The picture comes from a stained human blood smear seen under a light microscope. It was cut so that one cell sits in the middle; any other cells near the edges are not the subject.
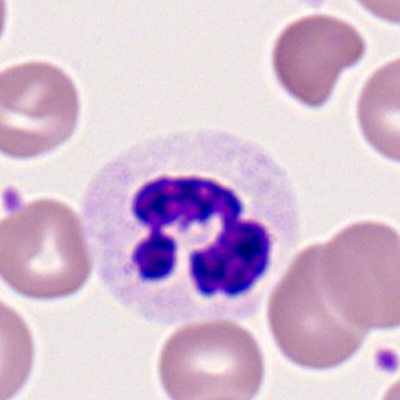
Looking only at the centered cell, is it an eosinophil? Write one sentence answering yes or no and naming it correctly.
No, the central cell is counted as a segmented neutrophil instead of an eosinophil.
